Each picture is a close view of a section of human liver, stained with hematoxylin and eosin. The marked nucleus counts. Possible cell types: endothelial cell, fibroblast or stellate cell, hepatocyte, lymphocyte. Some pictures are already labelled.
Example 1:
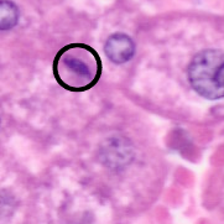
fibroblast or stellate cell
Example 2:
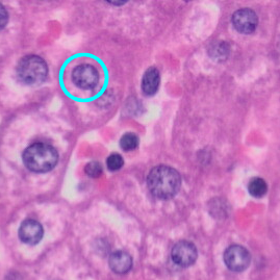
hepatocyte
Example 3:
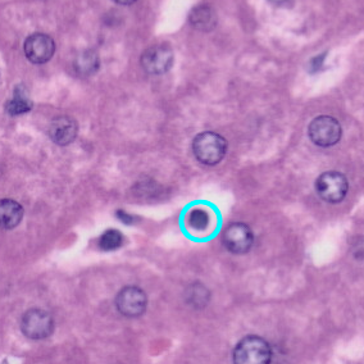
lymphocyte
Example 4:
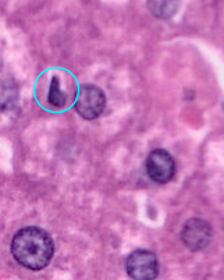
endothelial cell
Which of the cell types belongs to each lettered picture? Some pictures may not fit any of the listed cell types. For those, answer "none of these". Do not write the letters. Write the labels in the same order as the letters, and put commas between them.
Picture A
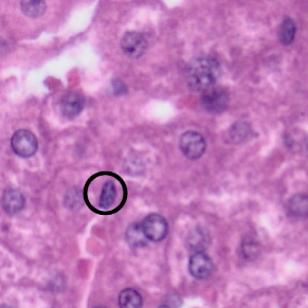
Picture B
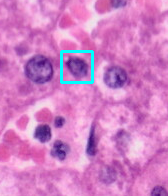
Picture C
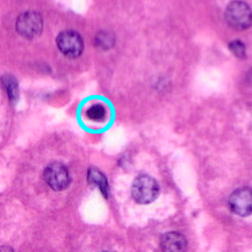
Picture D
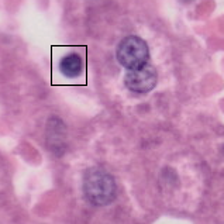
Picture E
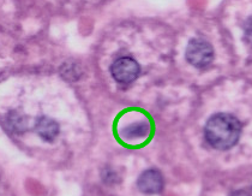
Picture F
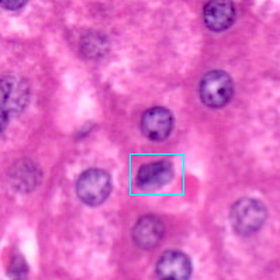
fibroblast or stellate cell, fibroblast or stellate cell, lymphocyte, lymphocyte, none of these, endothelial cell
